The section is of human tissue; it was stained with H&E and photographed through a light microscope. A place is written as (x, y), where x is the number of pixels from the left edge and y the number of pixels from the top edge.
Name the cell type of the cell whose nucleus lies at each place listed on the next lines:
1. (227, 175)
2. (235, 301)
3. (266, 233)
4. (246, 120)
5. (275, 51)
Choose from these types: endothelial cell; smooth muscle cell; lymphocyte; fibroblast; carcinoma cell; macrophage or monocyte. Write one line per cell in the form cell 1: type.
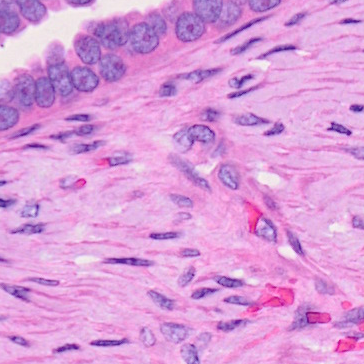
cell 1: endothelial cell
cell 2: fibroblast
cell 3: endothelial cell
cell 4: fibroblast
cell 5: fibroblast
